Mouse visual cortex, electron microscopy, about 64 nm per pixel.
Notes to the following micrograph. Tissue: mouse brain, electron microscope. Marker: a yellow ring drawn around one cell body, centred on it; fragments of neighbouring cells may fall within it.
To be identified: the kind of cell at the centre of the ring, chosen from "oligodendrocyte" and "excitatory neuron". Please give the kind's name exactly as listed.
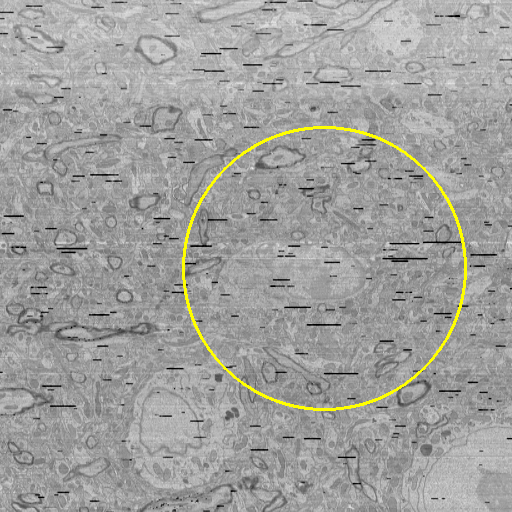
oligodendrocyte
